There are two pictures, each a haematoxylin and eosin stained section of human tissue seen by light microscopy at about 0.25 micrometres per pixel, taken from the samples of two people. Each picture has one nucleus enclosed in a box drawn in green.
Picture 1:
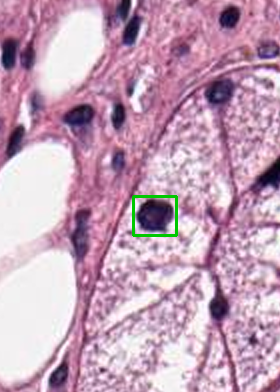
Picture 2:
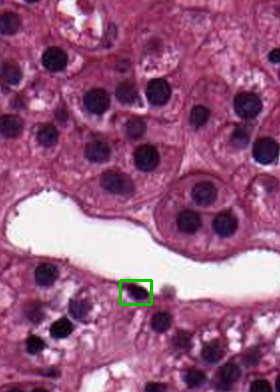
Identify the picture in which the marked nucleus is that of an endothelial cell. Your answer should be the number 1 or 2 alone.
2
